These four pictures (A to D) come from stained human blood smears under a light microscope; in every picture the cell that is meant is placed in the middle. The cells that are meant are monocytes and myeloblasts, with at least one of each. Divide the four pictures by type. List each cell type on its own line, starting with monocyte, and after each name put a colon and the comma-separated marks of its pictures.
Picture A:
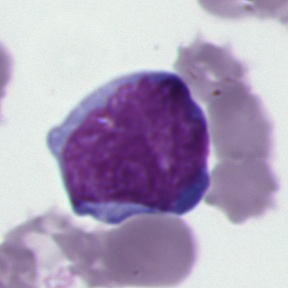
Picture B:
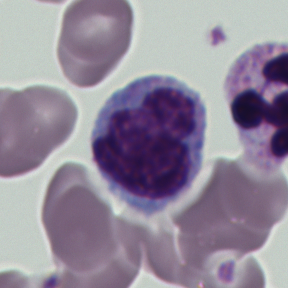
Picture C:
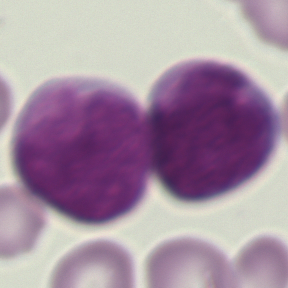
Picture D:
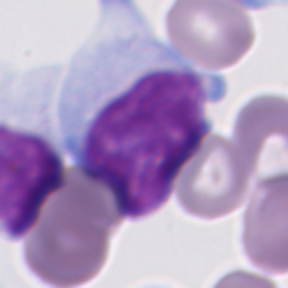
monocyte: B
myeloblast: A, C, D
